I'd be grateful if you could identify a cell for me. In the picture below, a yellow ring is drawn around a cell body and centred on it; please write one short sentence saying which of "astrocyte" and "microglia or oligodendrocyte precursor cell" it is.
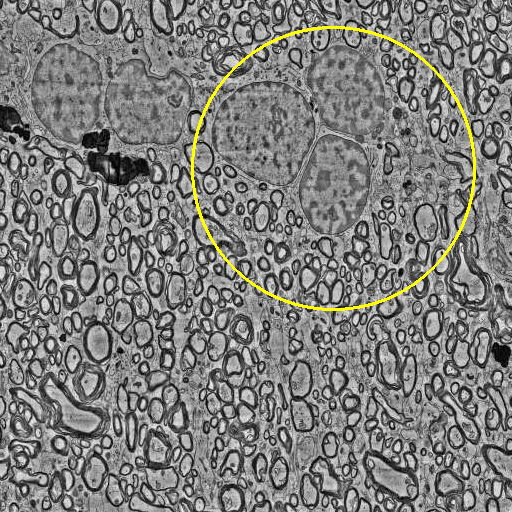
The cell under the ring's centre is a microglial cell or oligodendrocyte precursor cell.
